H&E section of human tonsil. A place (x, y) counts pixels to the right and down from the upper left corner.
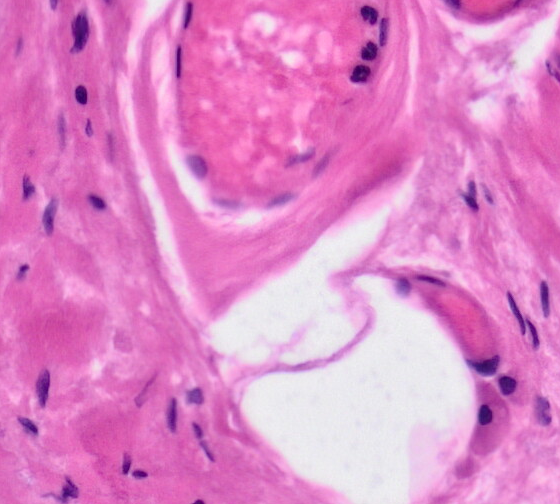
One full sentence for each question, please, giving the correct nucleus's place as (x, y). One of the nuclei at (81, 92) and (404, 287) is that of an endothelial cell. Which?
So, of the two, the nucleus at (404, 287) is the one belonging to an endothelial cell.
